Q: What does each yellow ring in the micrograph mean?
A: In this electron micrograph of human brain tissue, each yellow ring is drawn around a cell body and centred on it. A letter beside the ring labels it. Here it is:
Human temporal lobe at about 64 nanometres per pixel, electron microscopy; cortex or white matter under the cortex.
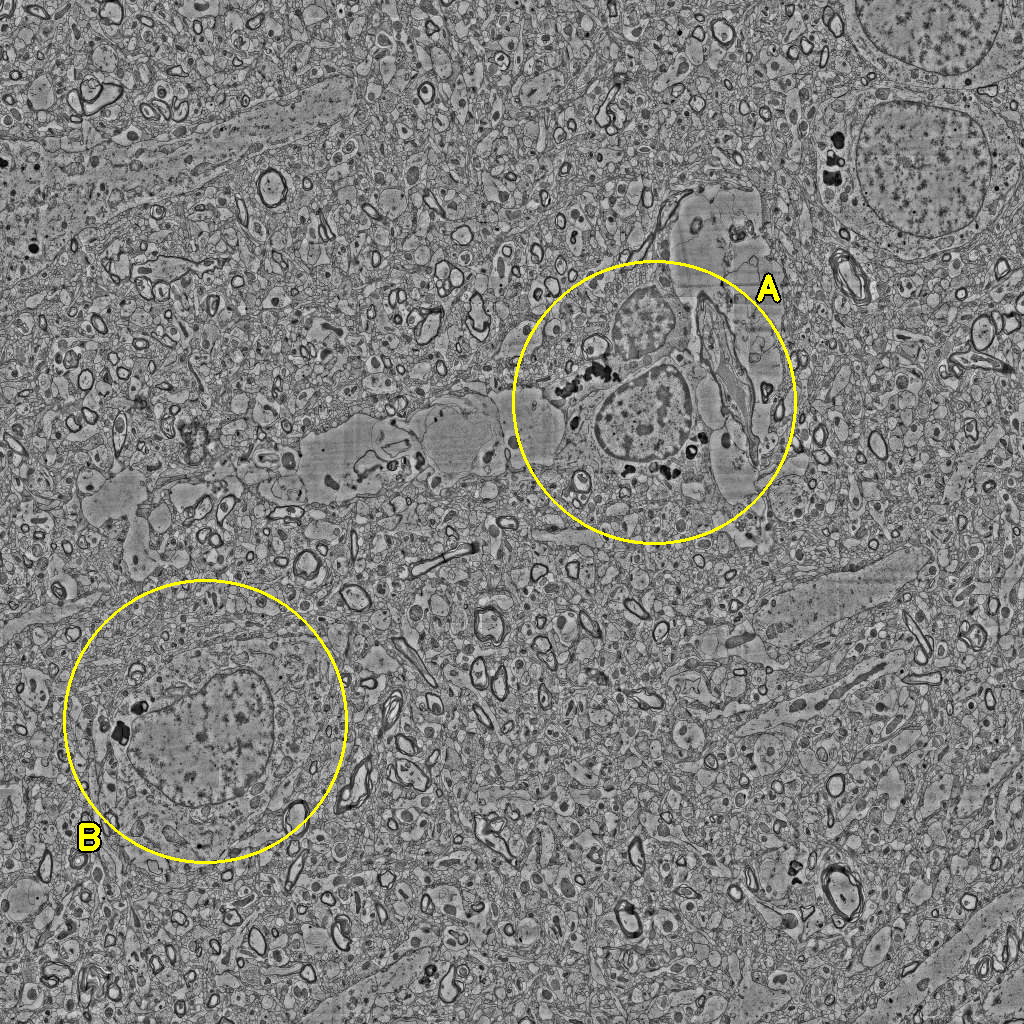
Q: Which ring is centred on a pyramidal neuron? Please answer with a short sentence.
Ring B is the one centred on it.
